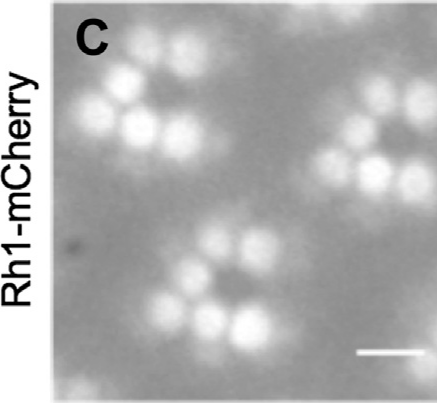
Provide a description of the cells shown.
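Photoreceptor rhabdomeres seen end-on in retina, appearing as bright round discs. The discs are evenly filled with label and sit against a dim background.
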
